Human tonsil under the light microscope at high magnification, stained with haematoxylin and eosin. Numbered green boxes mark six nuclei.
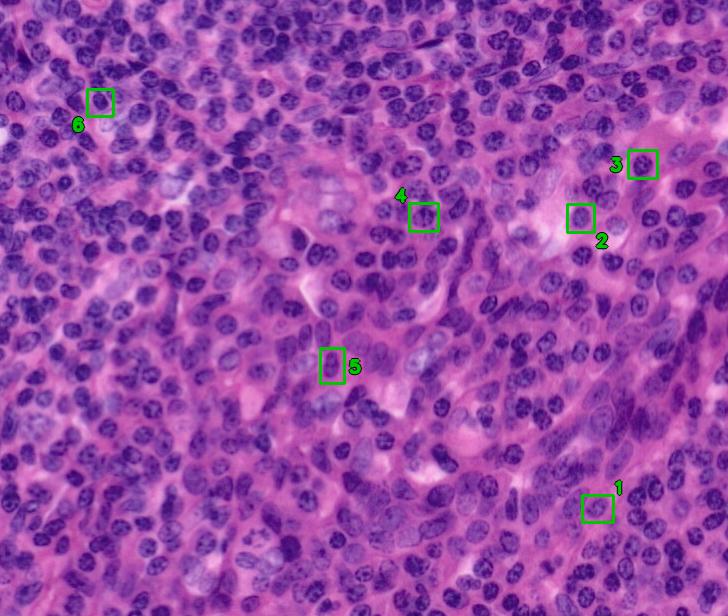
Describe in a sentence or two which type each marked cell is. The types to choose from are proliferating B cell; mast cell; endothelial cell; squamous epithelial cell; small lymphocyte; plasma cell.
Cells 1, 2, 3 and 4 are plasma cells. Cell 5 is a squamous epithelial cell. Cell 6 is a small lymphocyte.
